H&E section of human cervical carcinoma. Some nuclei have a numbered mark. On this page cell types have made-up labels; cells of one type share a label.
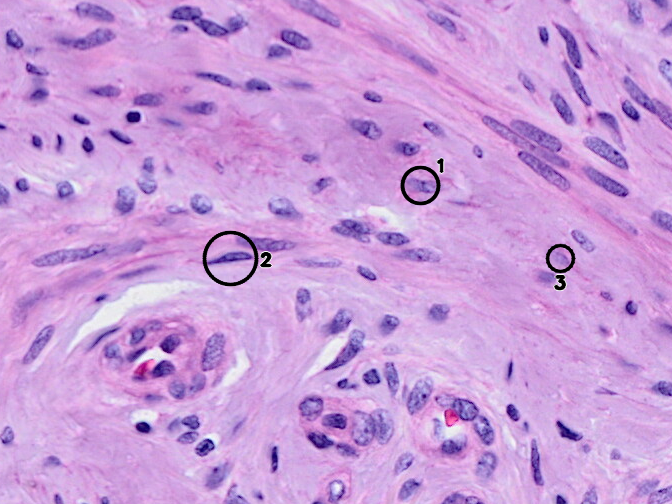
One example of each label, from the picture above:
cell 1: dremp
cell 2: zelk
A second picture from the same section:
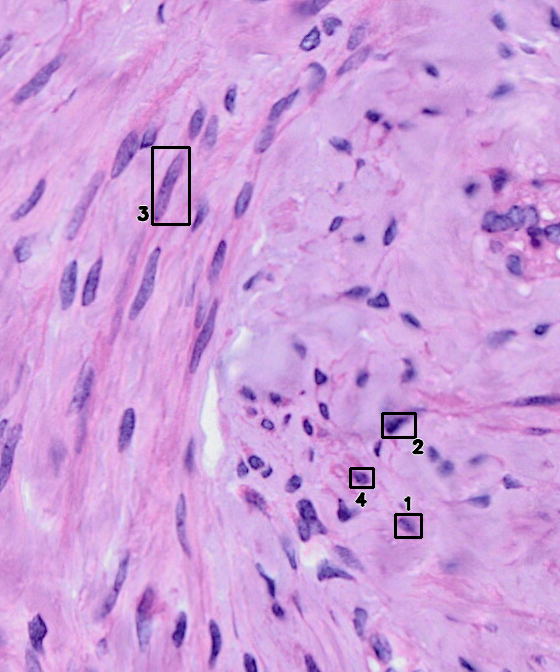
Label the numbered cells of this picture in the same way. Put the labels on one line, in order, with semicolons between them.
dremp; zelk; dremp; dremp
